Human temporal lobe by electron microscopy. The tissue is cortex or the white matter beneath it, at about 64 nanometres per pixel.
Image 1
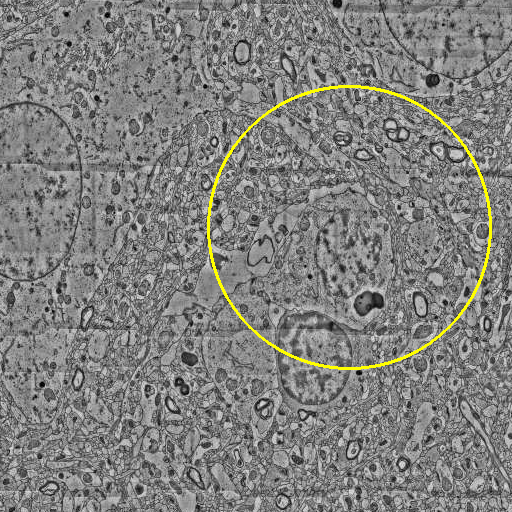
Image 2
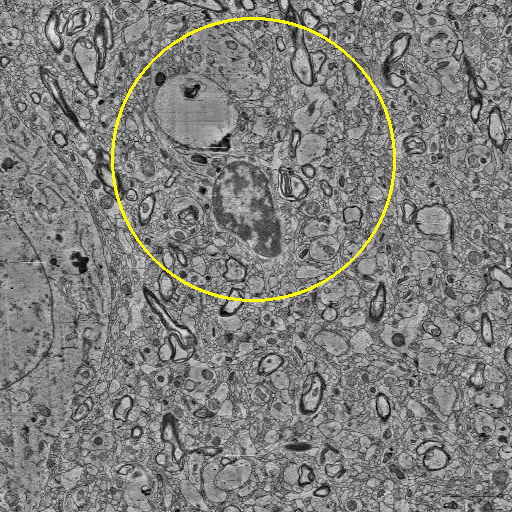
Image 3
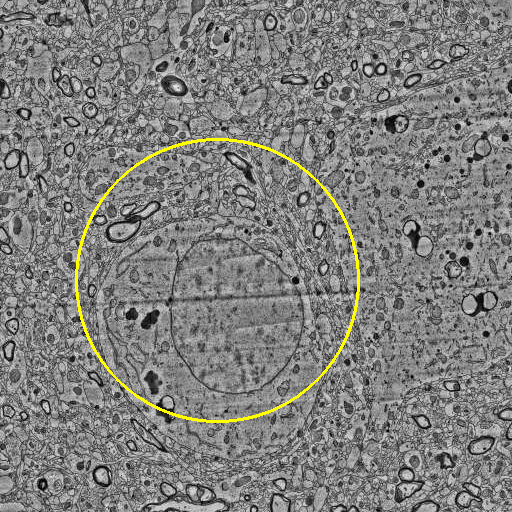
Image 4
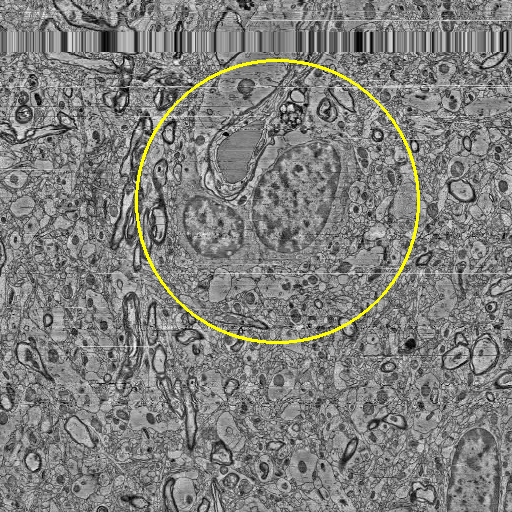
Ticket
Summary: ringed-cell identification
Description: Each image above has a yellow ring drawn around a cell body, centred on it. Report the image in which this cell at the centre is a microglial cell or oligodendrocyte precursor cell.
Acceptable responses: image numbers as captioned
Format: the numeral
2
